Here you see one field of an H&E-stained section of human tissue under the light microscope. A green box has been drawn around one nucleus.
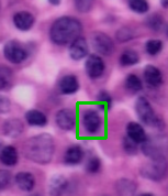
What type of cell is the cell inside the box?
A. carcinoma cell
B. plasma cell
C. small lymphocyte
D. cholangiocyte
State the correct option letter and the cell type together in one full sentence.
Here the cell inside the box is a plasma cell; pick option B.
